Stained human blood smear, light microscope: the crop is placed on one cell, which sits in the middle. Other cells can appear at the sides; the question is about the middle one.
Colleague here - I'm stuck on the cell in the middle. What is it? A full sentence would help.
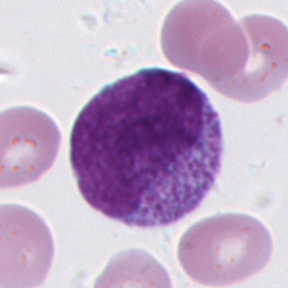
In the crop, the cell of interest at the centre is a myelocyte.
